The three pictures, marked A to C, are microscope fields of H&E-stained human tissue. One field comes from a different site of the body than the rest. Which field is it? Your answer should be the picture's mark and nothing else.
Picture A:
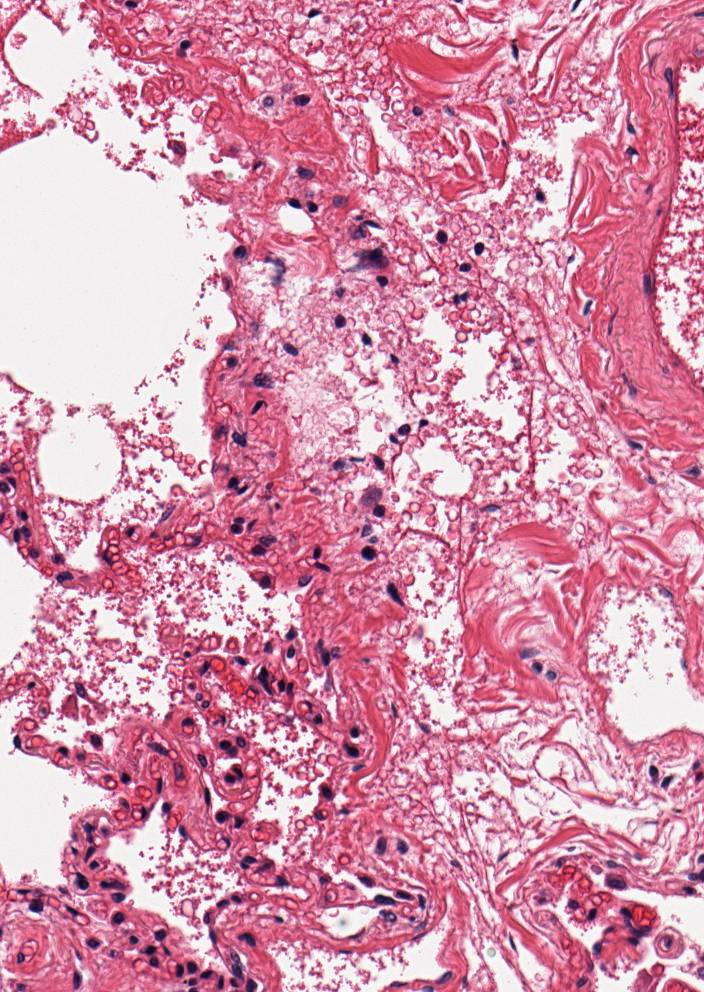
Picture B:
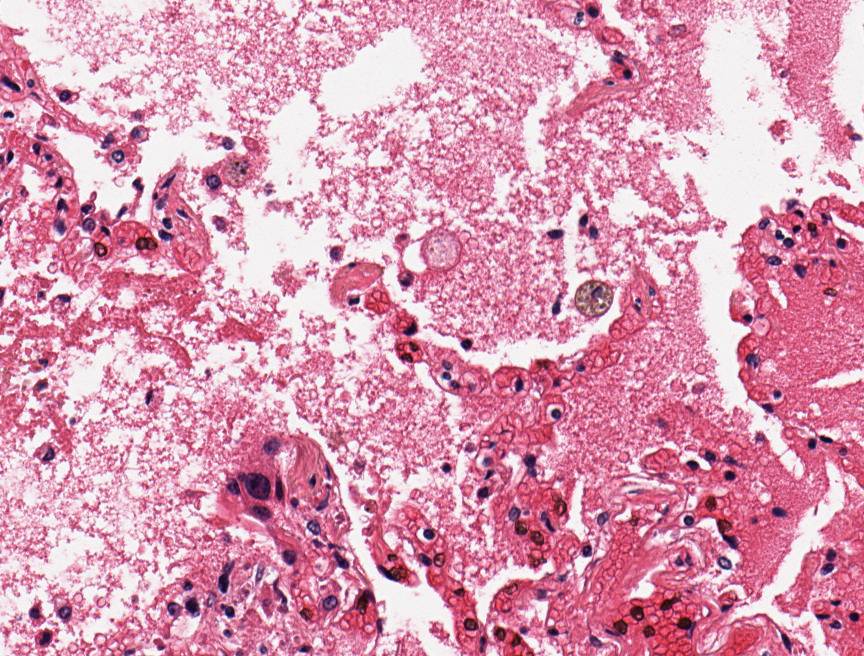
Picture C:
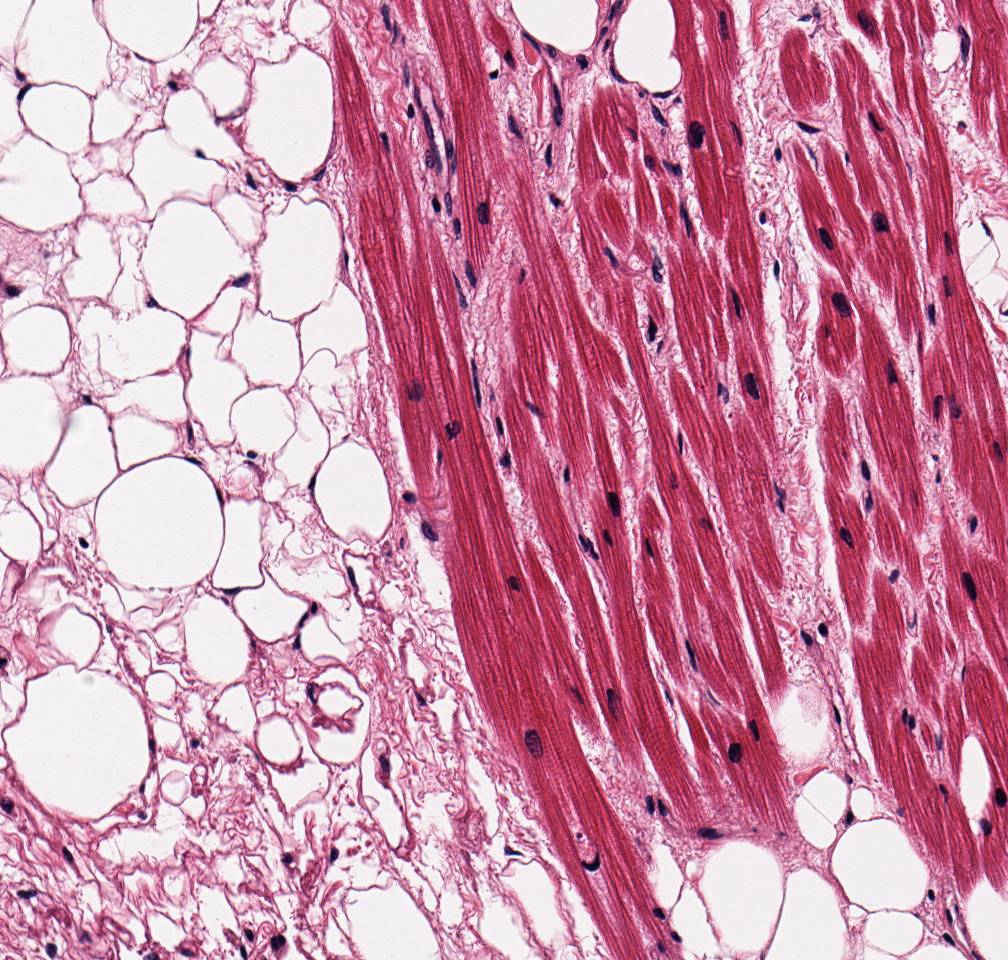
C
